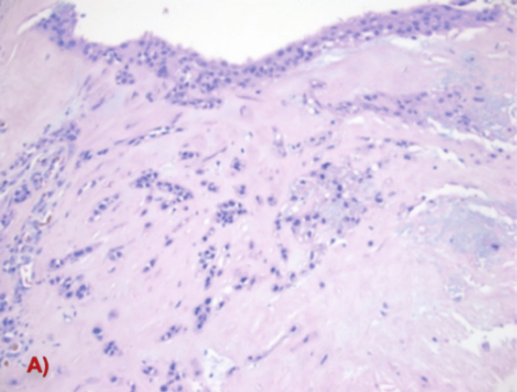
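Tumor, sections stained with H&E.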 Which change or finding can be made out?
Infiltrating the underlying parenchyma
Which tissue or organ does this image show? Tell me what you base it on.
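A multilayered band of epithelial cells runs along the top edge of the section. The band borders an open space at the top of the panel.
Conclusion: stratified epithelial cells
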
